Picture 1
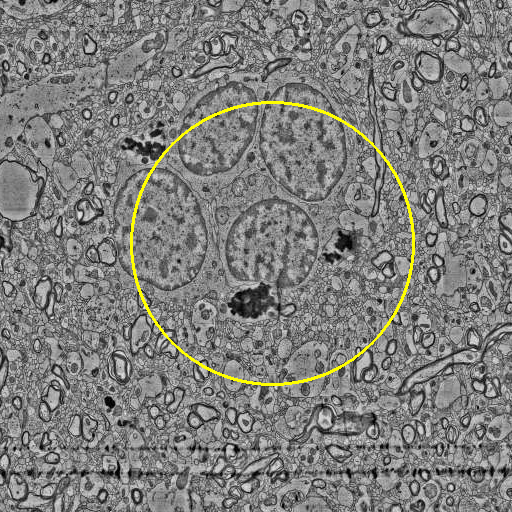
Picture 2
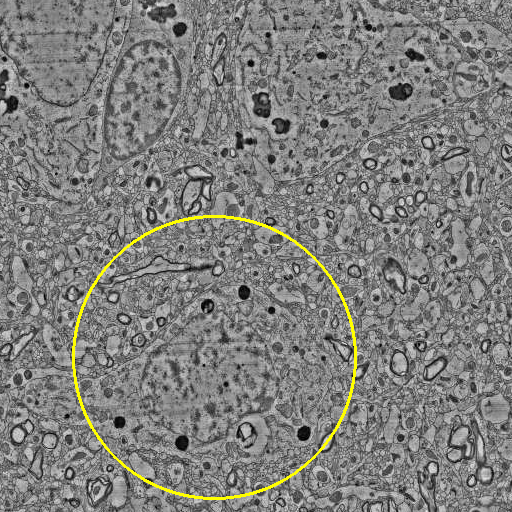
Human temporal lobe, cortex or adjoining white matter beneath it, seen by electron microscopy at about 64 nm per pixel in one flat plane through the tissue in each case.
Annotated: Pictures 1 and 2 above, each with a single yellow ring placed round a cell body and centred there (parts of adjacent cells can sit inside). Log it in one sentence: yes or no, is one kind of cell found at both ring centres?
No, the ring centres of the two pictures hold cells of two kinds.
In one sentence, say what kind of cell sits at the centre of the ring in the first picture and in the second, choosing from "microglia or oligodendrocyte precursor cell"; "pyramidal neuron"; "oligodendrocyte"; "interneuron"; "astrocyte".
The first picture's ringed cell is an oligodendrocyte, while the second picture's is an interneuron.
